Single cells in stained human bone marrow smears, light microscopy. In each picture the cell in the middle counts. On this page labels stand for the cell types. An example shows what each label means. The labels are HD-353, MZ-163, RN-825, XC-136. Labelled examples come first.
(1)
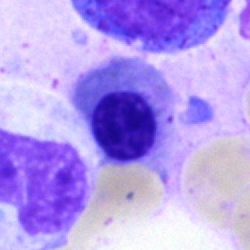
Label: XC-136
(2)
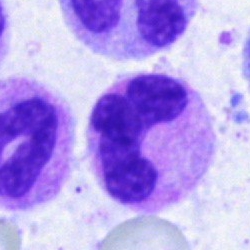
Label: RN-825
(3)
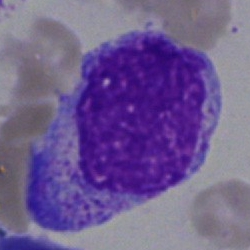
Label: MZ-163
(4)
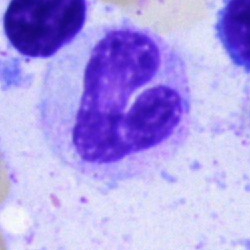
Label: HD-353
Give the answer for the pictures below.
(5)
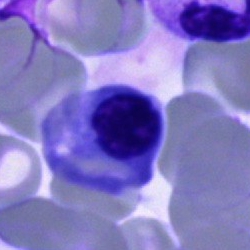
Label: XC-136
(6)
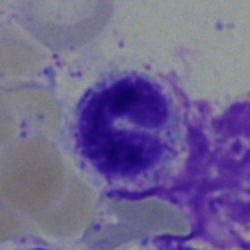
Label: HD-353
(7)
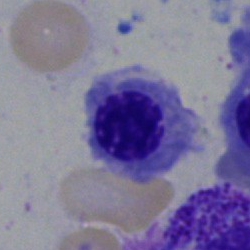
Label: XC-136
